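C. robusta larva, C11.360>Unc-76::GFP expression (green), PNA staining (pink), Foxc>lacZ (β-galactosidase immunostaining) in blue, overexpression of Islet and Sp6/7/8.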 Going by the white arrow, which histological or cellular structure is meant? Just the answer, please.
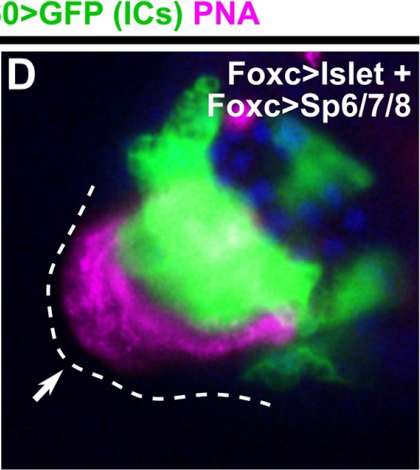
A: a single large papilla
